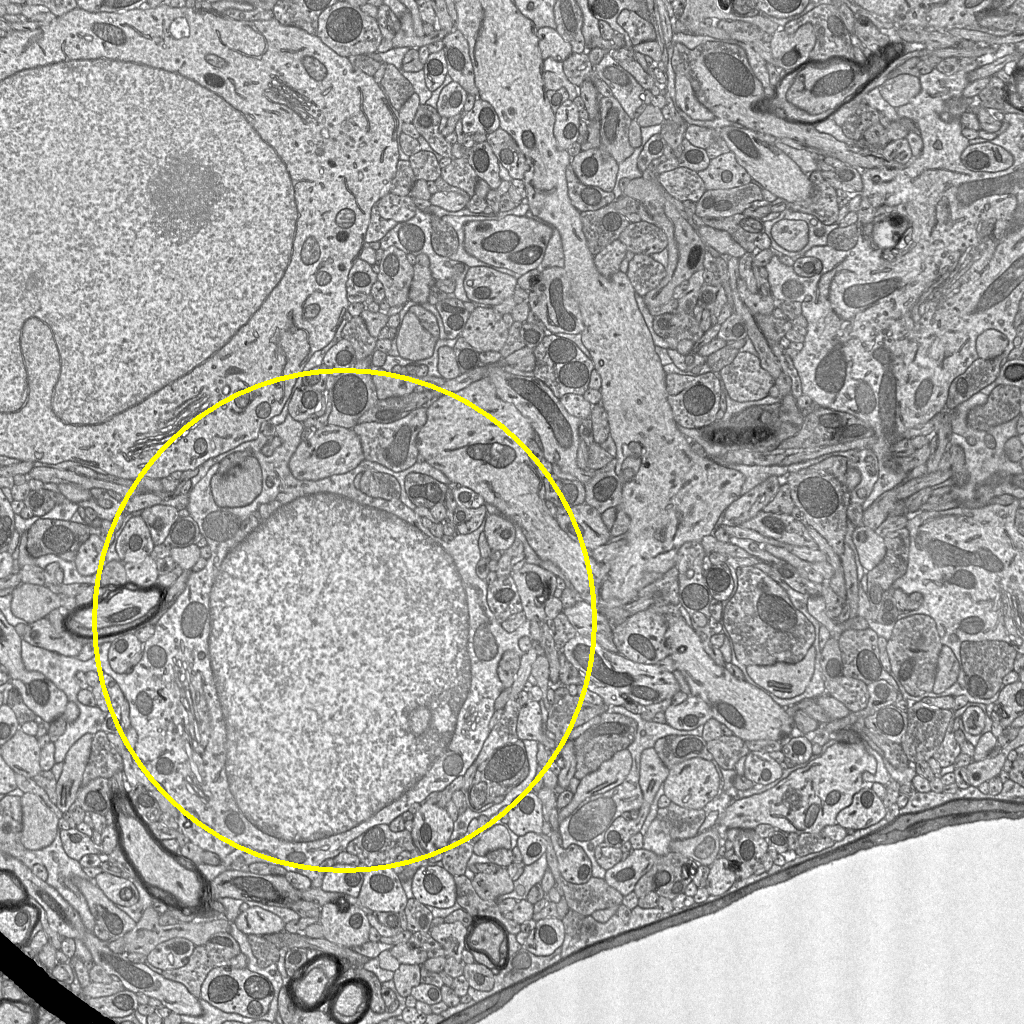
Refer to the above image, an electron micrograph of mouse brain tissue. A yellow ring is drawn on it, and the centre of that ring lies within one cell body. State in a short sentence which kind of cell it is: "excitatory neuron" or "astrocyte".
The centre of the ring falls on an astrocyte.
